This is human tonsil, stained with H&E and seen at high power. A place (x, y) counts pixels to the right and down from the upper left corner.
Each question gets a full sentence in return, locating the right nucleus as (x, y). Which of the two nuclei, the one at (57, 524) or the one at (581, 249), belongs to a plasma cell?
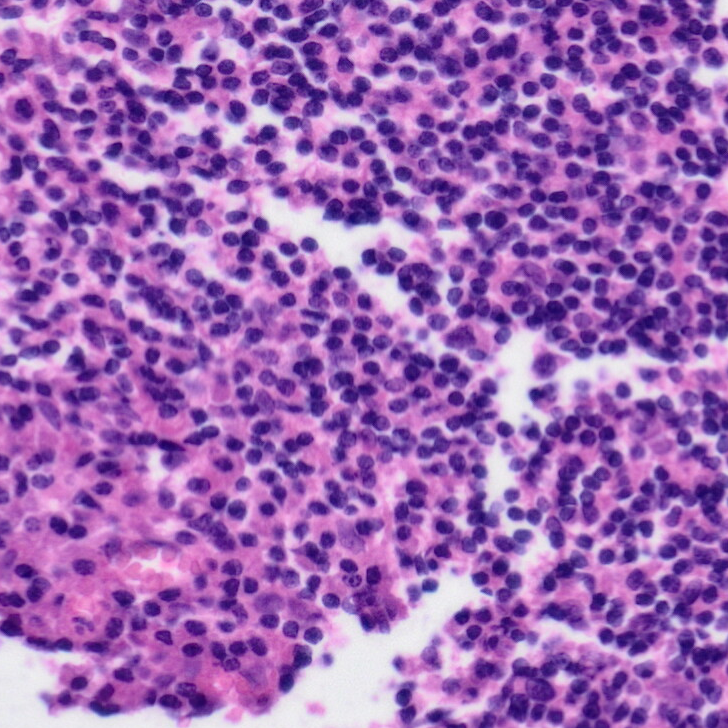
Of the two candidate nuclei, the one at (57, 524) is that of a plasma cell.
